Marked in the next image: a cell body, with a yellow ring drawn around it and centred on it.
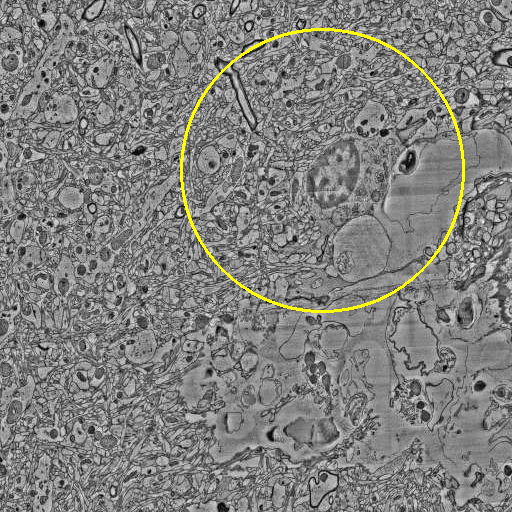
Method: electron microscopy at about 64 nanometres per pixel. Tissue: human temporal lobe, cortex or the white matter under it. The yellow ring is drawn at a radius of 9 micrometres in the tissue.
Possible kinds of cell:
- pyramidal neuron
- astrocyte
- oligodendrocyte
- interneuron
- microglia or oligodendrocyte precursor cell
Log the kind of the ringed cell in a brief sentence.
The ringed cell body is that of an oligodendrocyte.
